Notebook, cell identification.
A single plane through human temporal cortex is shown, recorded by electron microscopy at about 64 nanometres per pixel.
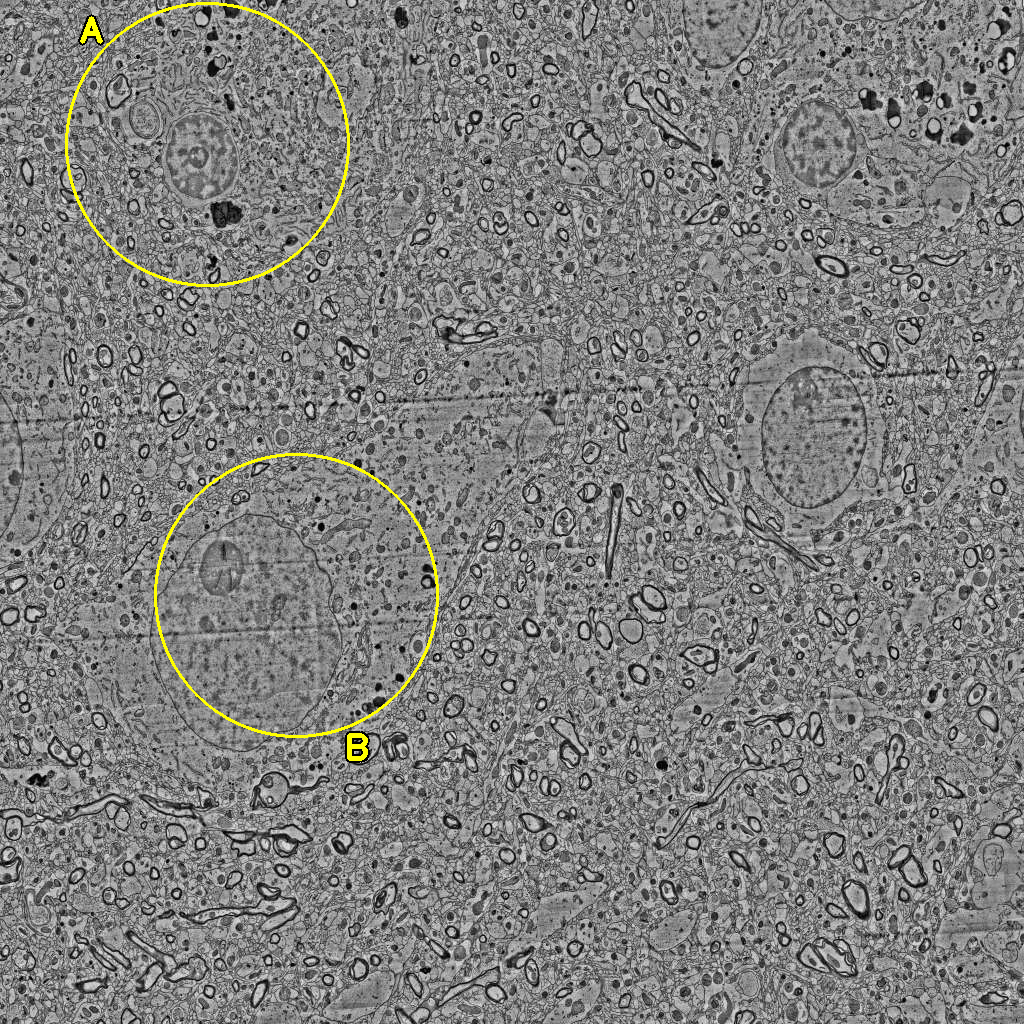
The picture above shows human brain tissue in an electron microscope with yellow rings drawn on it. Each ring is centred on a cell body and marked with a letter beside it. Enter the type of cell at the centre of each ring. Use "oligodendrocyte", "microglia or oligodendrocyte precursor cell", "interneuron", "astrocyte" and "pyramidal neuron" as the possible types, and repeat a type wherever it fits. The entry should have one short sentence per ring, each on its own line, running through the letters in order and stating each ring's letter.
The cell body in ring A belongs to an oligodendrocyte.
The cell body in ring B belongs to a pyramidal neuron.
